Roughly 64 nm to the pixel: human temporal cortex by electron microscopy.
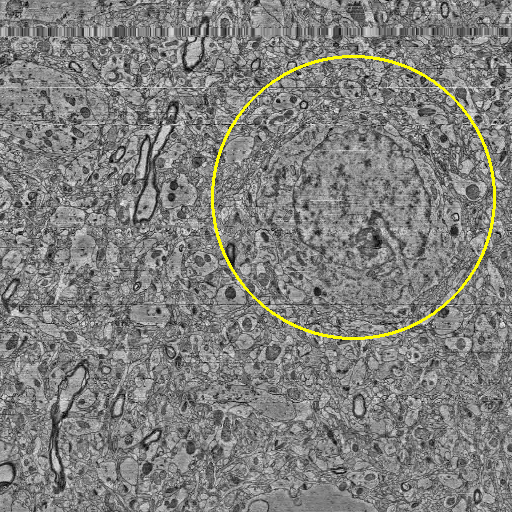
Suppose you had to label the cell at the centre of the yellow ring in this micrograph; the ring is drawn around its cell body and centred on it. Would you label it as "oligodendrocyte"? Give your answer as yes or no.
No, I would label it as another kind.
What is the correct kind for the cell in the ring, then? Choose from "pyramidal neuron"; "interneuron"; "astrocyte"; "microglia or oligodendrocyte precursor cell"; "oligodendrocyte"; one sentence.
Instead, the picture shows an interneuron at the centre of the ring.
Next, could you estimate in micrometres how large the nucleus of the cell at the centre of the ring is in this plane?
In this plane, roughly 9 micrometres across.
